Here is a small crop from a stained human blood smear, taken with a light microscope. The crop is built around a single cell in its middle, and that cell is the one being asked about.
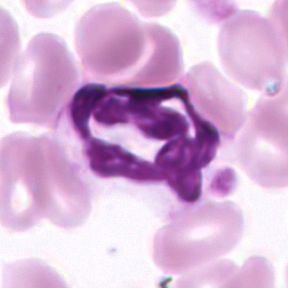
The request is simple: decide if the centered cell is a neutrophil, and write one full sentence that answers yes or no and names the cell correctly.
Yes, at the centre of the crop lies a neutrophil.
